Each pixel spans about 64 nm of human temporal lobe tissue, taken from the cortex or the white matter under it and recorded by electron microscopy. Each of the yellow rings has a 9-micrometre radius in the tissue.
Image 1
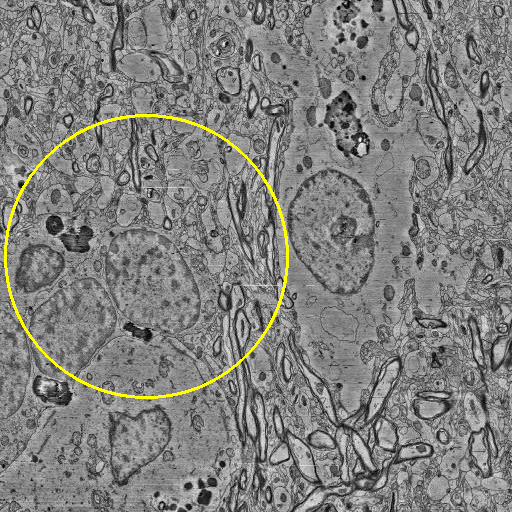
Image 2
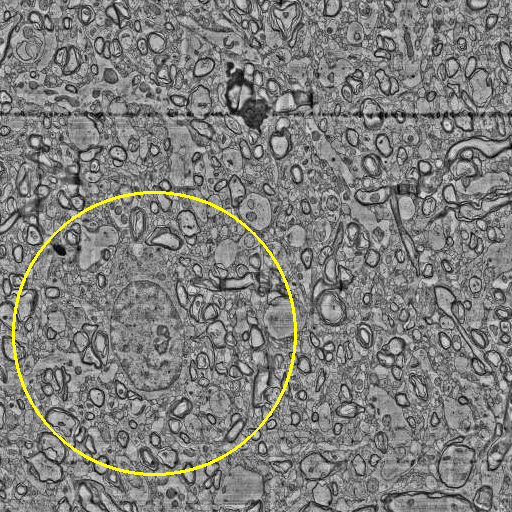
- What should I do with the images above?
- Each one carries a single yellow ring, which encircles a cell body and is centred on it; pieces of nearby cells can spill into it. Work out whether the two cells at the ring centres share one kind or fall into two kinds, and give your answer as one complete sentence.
The ring-centre cells of Image 1 and Image 2 share one kind.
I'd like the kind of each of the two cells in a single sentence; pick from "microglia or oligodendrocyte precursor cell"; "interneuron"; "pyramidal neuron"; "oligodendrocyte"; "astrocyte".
Each cell, in the first picture and the second, is an oligodendrocyte.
